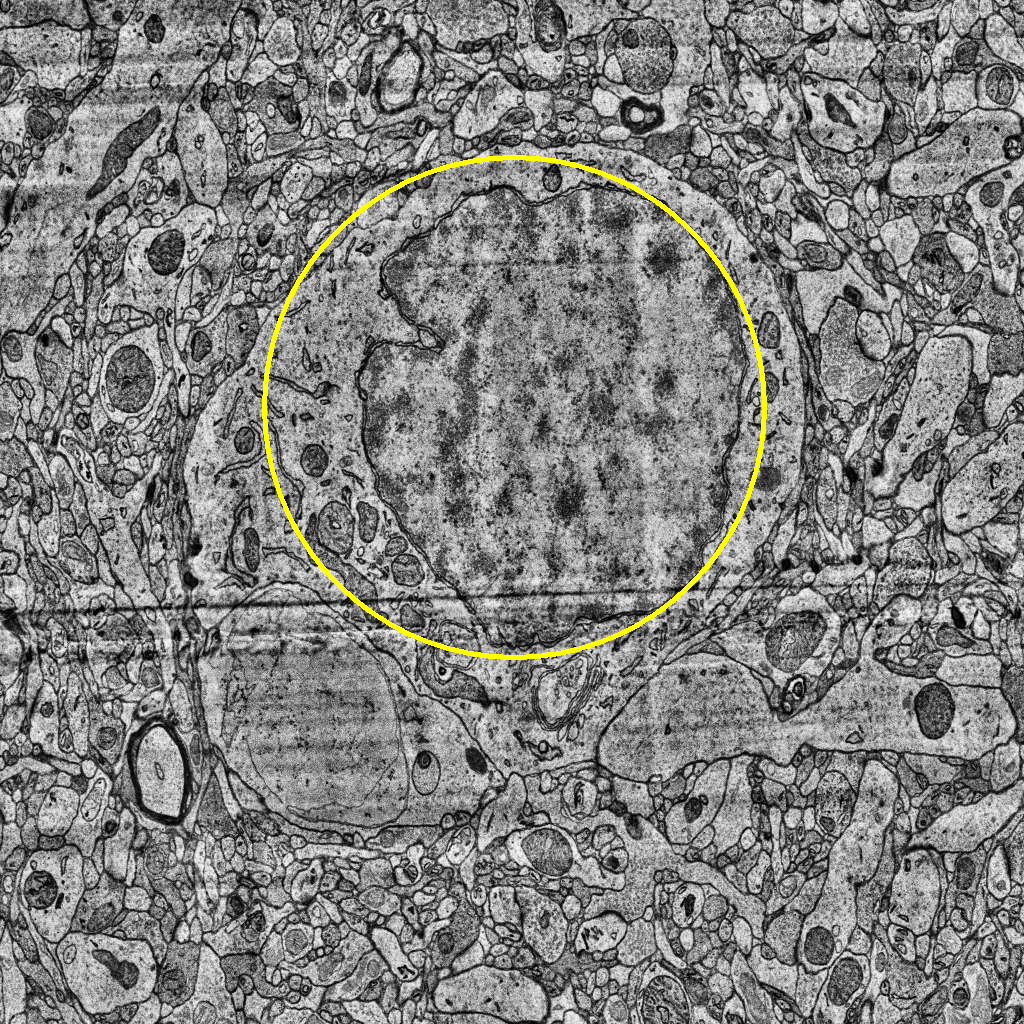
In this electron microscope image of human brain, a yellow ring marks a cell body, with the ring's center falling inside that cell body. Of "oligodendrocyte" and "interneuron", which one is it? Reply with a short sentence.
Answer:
It is an interneuron at the center of the ring.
